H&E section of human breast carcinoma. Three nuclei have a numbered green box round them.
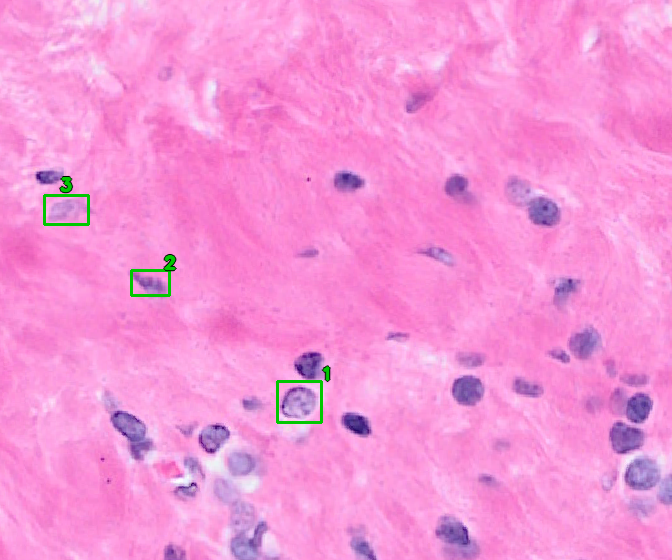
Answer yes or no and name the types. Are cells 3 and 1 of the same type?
No, cell 3 is a fibroblast and cell 1 is a carcinoma cell.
